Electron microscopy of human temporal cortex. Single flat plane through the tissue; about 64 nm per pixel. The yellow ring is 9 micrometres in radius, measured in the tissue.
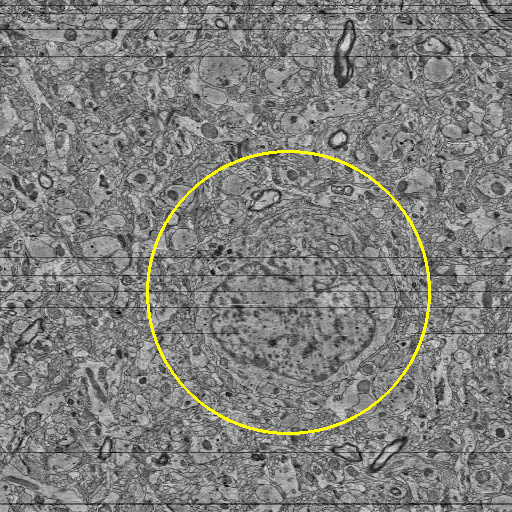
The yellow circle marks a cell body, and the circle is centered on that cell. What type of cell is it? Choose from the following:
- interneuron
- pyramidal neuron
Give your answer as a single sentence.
This cell body belongs to an interneuron.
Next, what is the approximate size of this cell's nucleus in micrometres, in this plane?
The nucleus works out at approximately 11 by 8 micrometres in this plane.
